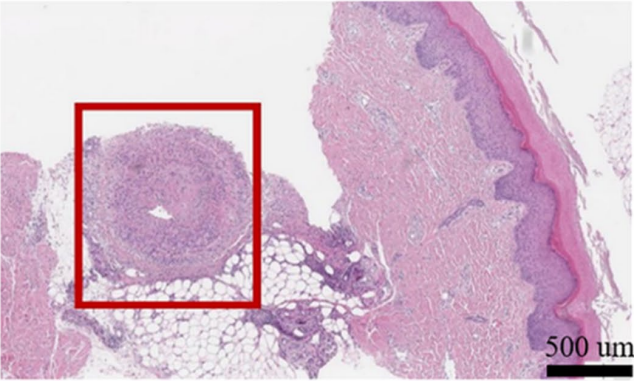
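This low-power view of skin shows the surface epithelium with its pink keratin layer on the right, dense pink dermis beneath it, and pale fat of the subcutis at lower left. Within the fat lies a round vessel whose thick wall is crowded with dark purple nuclei of inflammatory cells around a small central lumen.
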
